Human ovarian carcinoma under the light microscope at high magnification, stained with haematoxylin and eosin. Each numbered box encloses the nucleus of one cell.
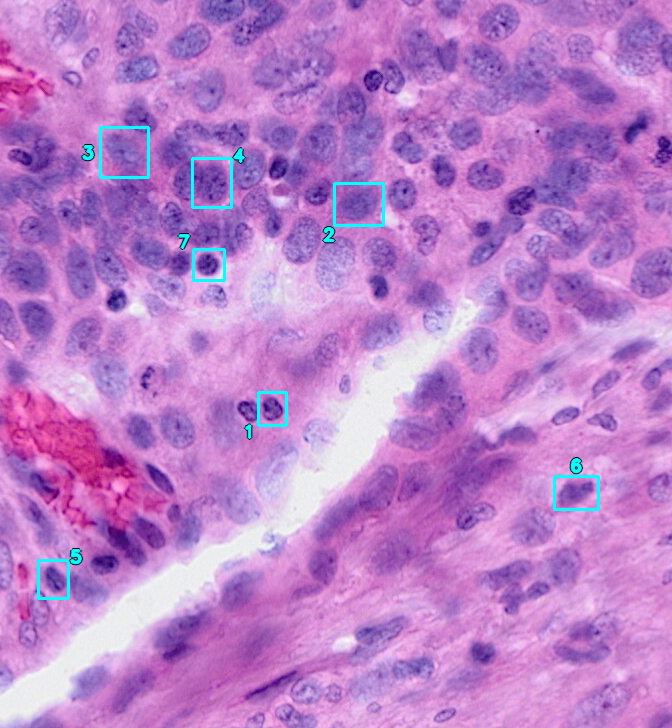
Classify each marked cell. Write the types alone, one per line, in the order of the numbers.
lymphocyte
carcinoma cell
carcinoma cell
carcinoma cell
lymphocyte
macrophage or monocyte
lymphocyte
